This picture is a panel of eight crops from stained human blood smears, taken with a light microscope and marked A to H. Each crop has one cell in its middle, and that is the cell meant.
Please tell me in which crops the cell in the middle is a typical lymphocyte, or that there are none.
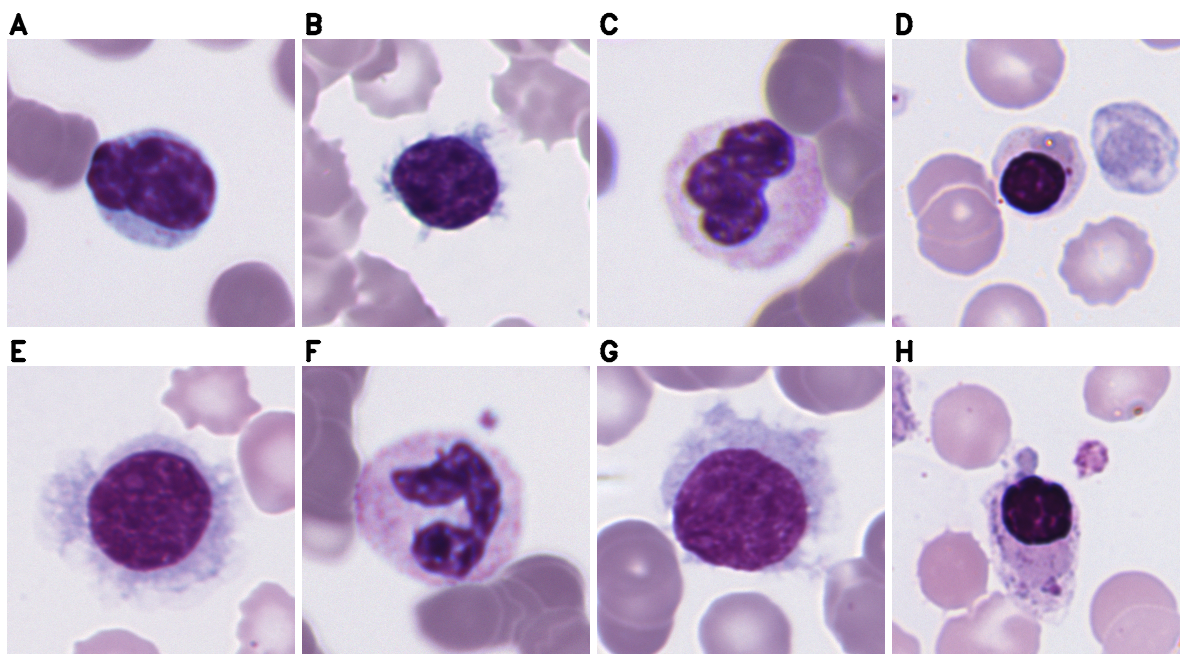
A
